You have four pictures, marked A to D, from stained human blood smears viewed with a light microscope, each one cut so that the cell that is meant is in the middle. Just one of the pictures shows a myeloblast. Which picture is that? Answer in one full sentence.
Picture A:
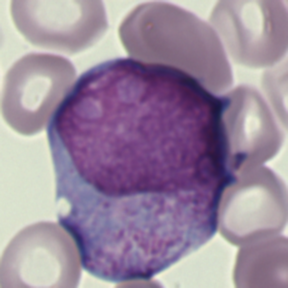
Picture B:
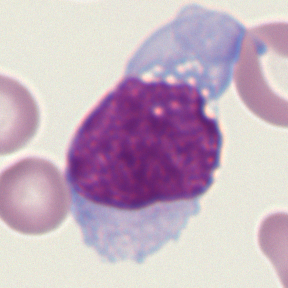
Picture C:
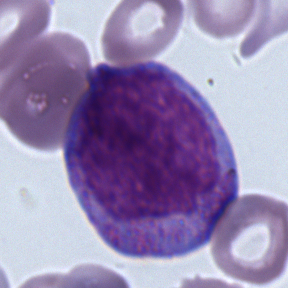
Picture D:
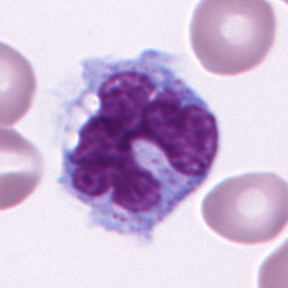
It is picture B that shows the myeloblast.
